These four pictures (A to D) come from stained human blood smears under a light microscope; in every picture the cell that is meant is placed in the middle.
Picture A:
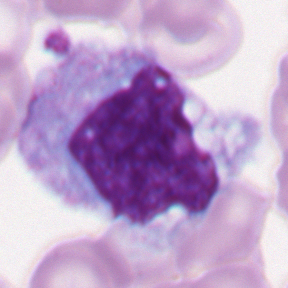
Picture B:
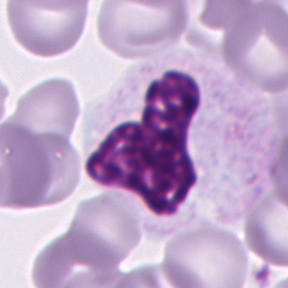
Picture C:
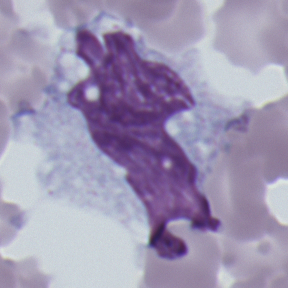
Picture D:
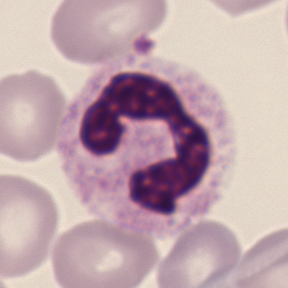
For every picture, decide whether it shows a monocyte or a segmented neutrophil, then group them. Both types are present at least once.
A: monocyte
B: segmented neutrophil
C: monocyte
D: segmented neutrophil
